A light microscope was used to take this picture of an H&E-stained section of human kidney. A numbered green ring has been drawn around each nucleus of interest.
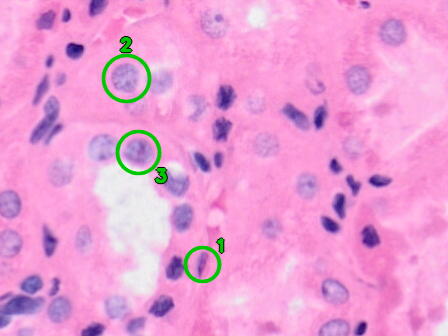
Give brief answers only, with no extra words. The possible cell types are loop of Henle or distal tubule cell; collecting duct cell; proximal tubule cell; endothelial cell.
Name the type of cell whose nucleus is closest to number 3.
loop of Henle or distal tubule cell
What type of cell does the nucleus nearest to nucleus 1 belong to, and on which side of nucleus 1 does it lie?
a loop of Henle or distal tubule cell; to the left of nucleus 1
